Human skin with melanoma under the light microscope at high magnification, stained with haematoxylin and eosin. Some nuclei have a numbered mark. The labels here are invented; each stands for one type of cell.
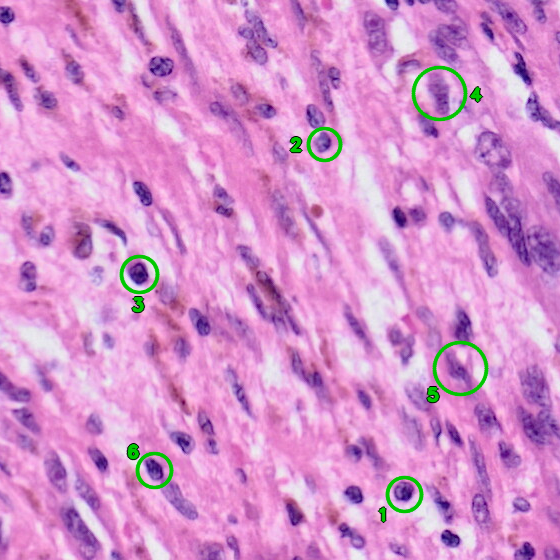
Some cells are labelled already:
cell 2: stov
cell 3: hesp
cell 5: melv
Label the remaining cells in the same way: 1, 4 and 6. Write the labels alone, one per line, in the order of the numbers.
stov
melv
stov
